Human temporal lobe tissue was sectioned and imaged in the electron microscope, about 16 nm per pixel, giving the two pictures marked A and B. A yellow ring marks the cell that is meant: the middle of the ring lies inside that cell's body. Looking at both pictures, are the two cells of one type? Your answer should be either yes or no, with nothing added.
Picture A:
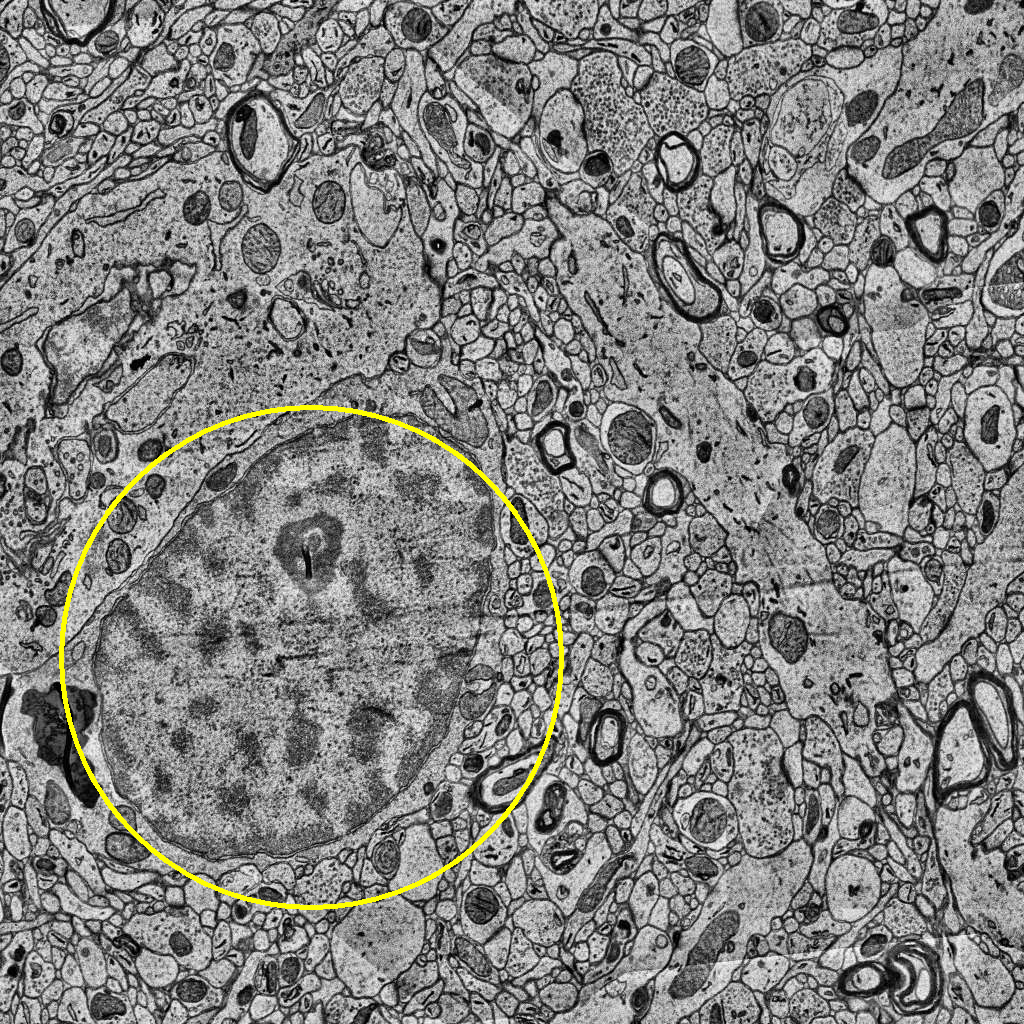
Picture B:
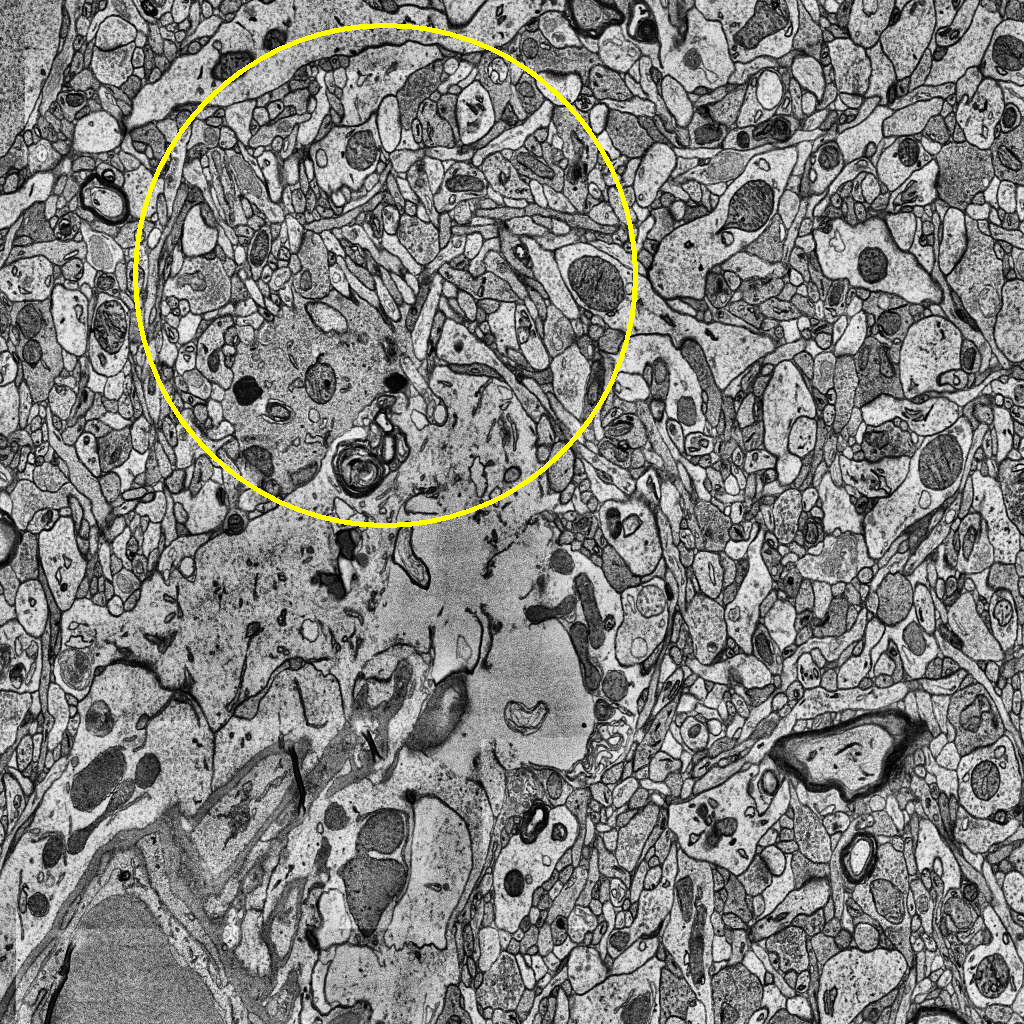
yes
